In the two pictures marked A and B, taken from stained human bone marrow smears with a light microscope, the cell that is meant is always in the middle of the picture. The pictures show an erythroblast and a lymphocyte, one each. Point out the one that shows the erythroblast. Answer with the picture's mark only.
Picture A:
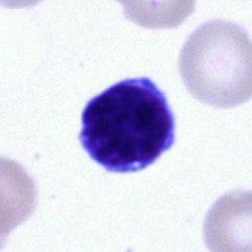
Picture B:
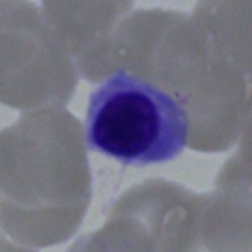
B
